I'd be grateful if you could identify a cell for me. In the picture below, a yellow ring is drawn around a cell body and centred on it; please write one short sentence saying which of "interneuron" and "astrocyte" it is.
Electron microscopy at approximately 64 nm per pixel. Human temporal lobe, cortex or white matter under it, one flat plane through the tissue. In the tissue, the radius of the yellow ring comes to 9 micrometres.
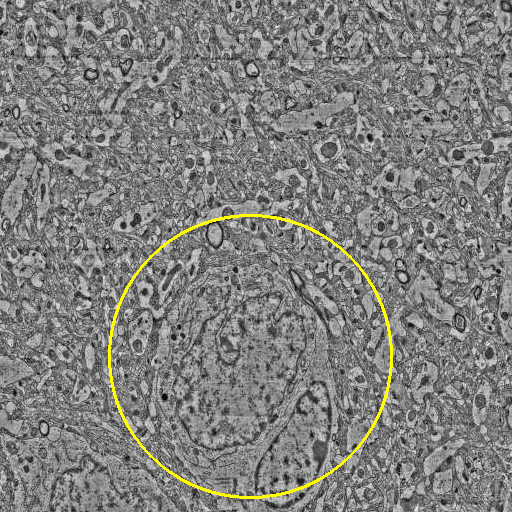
The cell under the ring's centre is an interneuron.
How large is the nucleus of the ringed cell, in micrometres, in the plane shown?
The nucleus of the ringed cell is clearly longer than it is wide in this plane, about 11 by 7 micrometres.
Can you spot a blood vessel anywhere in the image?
No, none appears.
